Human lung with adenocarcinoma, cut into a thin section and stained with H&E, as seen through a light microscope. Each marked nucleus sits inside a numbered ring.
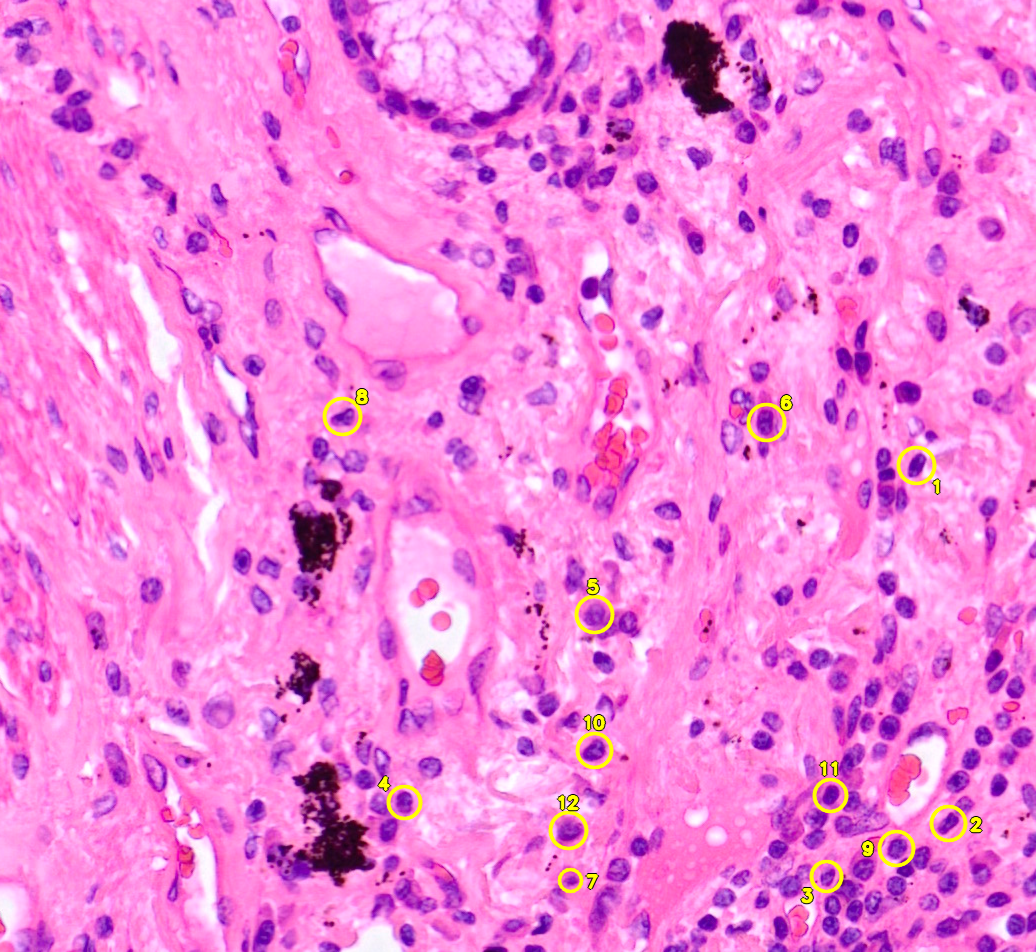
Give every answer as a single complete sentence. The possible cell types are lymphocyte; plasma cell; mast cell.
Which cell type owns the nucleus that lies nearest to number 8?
It is a mast cell whose nucleus is nearest to number 8.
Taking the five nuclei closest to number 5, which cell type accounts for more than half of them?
Of the five nuclei nearest to number 5, most belong to plasma cells.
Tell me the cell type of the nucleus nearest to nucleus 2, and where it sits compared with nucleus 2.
It is a lymphocyte, whose nucleus lies above and to the right of nucleus 2.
